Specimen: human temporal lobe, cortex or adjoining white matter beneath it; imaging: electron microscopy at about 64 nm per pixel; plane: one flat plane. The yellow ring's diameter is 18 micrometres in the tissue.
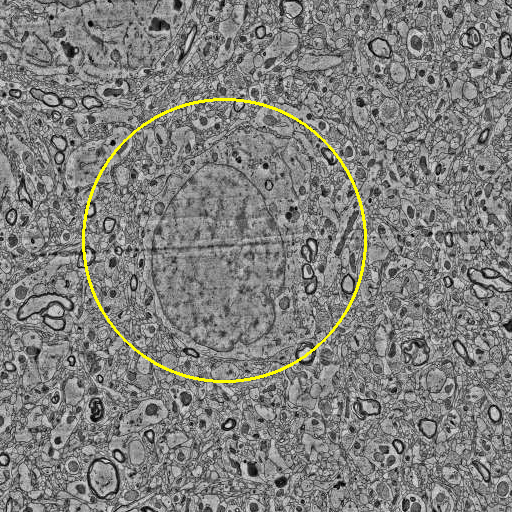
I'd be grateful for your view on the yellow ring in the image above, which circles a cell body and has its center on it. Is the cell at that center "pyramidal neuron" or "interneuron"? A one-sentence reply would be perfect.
The cell at the center of the yellow ring is an interneuron.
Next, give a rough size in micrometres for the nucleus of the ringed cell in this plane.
The ringed cell's nucleus is about 12 micrometres long and 9 micrometres wide in this plane.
